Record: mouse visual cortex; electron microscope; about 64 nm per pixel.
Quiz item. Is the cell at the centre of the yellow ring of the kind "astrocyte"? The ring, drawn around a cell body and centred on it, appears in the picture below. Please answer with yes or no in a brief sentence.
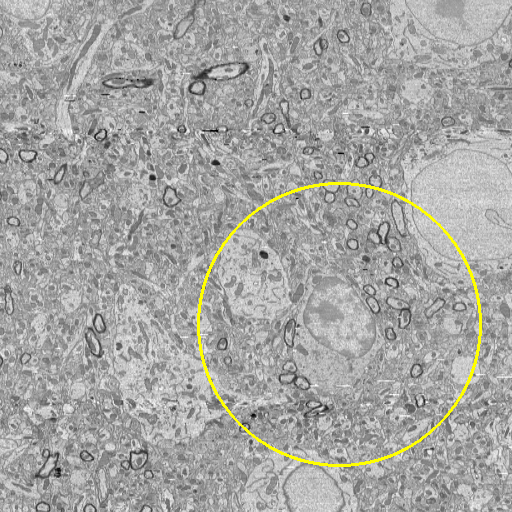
No, it is another kind of cell.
